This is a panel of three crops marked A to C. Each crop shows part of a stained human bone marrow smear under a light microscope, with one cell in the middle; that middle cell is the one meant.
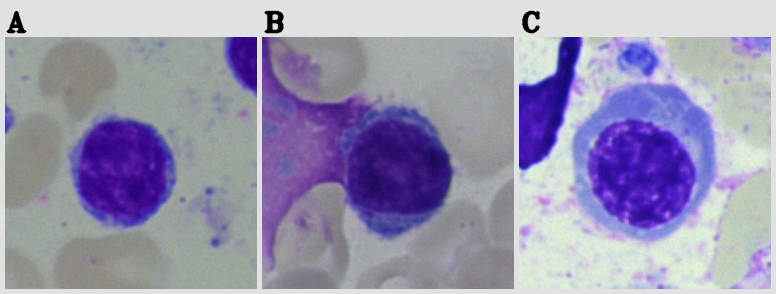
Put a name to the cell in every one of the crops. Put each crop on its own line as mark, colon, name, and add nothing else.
A: lymphocyte
B: lymphocyte
C: erythroblast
